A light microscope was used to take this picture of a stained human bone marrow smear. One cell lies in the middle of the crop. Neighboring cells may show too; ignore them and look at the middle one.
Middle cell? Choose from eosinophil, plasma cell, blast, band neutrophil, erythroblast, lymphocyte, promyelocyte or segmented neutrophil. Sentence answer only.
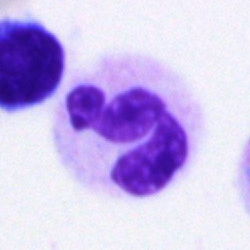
In short, the cell at the center is a segmented neutrophil.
